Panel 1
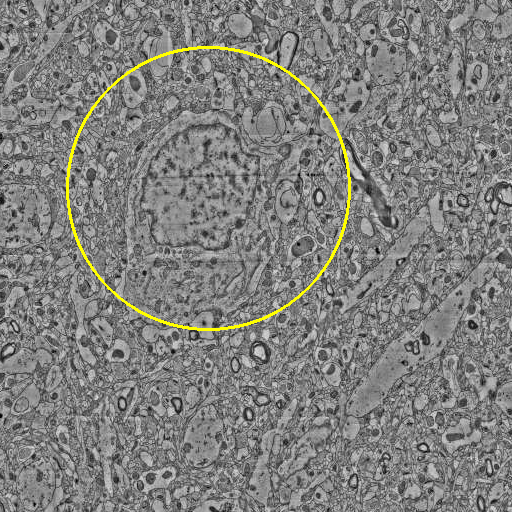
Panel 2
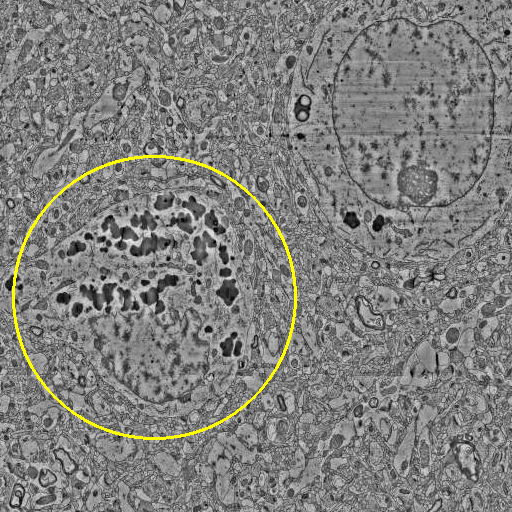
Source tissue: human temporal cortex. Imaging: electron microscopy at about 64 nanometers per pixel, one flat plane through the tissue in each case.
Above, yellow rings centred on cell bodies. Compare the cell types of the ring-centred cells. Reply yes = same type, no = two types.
yes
